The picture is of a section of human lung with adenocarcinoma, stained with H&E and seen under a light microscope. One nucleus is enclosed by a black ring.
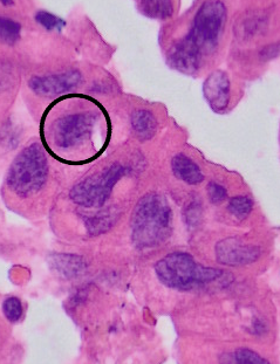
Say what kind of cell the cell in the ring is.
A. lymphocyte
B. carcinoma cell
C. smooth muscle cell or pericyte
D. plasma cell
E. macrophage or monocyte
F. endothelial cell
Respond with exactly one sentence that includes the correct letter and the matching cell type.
As stated in option B, the cell in the ring is a carcinoma cell.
